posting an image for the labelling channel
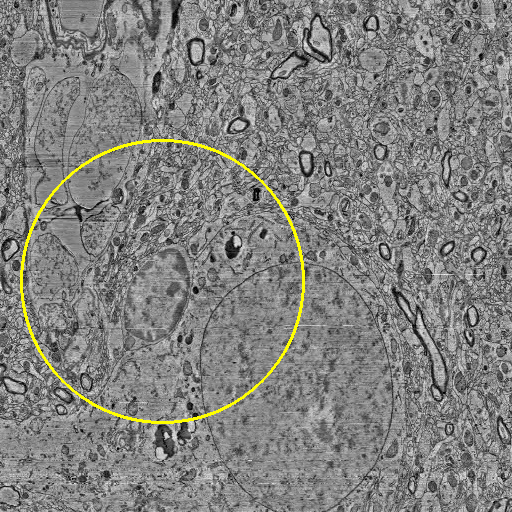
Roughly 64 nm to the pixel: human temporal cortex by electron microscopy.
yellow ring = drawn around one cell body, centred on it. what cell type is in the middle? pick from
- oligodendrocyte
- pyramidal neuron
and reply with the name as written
oligodendrocyte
